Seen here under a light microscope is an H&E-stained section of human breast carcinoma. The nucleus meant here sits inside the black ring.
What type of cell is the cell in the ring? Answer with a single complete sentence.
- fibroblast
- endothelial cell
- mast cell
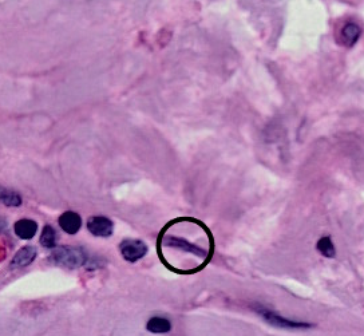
It is as a fibroblast that the cell in the ring is classified.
